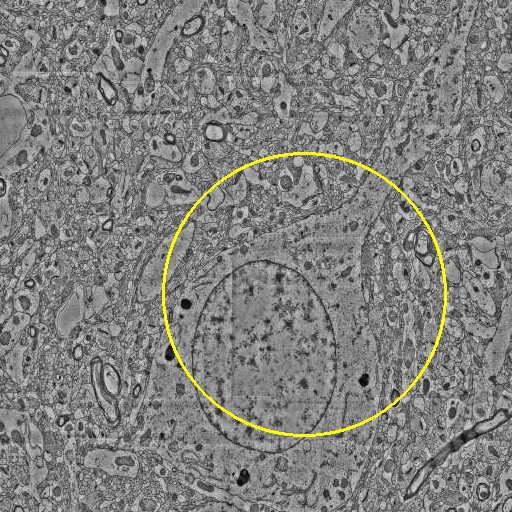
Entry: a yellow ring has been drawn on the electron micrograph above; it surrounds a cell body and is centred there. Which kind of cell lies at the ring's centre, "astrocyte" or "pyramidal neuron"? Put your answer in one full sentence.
The cell sitting at the ring's centre is a pyramidal neuron in the micrograph above.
